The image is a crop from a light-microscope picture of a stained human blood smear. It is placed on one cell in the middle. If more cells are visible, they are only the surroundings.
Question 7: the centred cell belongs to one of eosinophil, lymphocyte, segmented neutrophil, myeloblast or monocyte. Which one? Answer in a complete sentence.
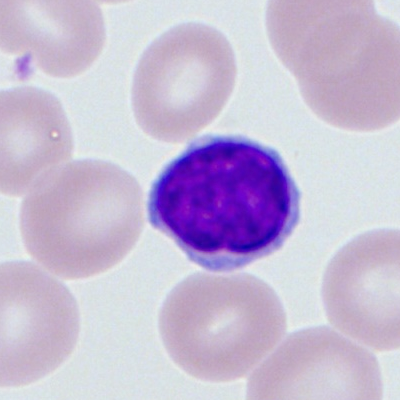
Framed in the middle of the crop is a lymphocyte.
